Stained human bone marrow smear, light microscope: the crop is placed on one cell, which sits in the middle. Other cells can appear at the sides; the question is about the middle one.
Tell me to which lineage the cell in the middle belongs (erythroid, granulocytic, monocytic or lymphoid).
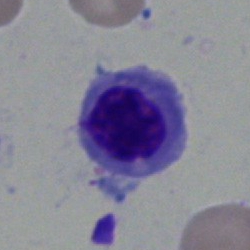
erythroid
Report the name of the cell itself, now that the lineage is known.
erythroblast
